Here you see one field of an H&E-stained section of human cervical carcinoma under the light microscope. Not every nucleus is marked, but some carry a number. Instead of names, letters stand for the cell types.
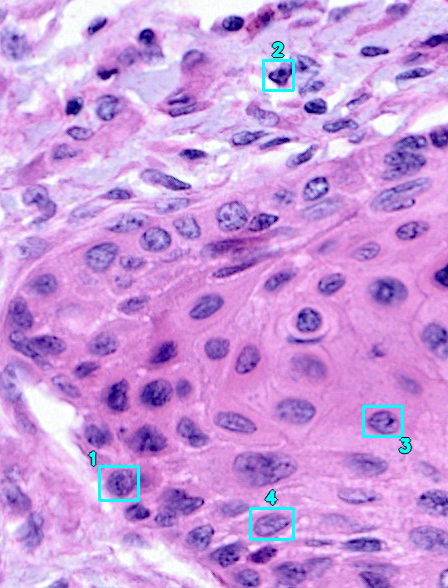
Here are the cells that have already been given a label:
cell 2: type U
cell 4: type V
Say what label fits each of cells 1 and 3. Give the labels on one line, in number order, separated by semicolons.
type V; type V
